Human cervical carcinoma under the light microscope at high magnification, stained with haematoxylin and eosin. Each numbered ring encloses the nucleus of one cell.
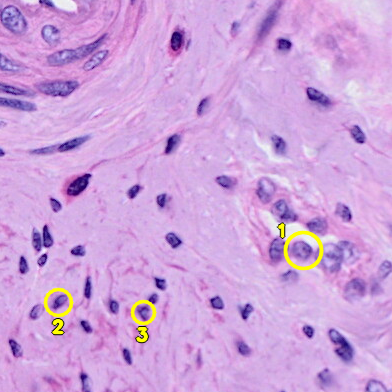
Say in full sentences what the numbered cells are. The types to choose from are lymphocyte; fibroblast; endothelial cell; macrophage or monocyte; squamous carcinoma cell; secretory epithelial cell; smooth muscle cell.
Cell 1 is an endothelial cell, cell 2 is a smooth muscle cell and cell 3 is a smooth muscle cell.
